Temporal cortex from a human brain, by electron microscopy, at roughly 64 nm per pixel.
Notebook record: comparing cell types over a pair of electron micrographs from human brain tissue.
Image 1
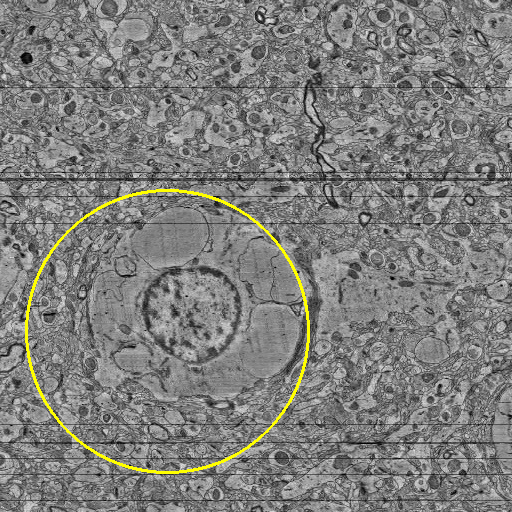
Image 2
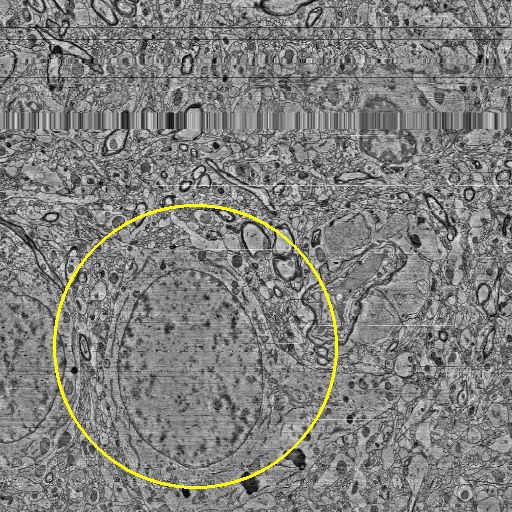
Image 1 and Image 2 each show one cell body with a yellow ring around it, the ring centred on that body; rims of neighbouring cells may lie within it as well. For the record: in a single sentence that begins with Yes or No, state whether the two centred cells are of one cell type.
No, two cell types are found among the centred cells of Image 1 and Image 2.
